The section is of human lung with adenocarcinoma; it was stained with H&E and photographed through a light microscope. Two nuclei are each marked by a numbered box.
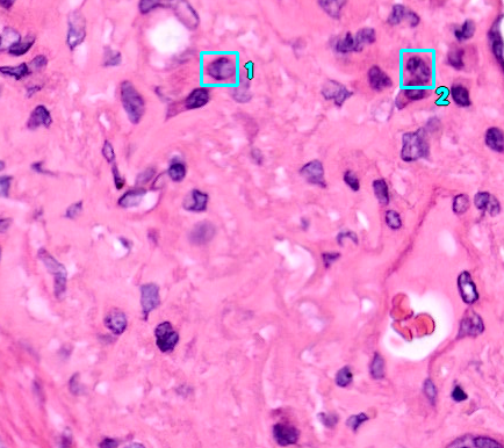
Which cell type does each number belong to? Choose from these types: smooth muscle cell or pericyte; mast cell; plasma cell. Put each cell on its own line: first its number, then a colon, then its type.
1: mast cell
2: plasma cell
